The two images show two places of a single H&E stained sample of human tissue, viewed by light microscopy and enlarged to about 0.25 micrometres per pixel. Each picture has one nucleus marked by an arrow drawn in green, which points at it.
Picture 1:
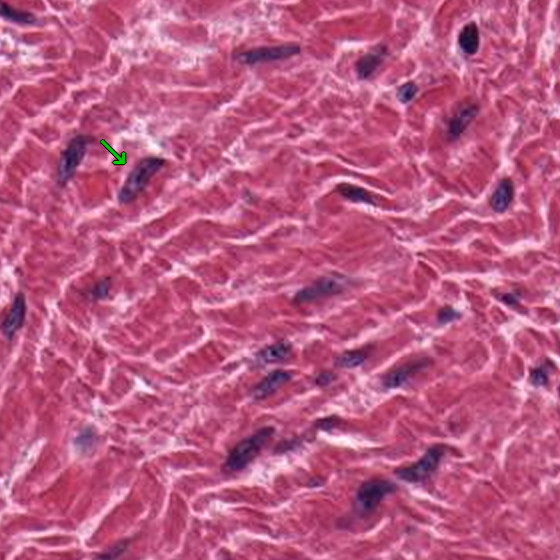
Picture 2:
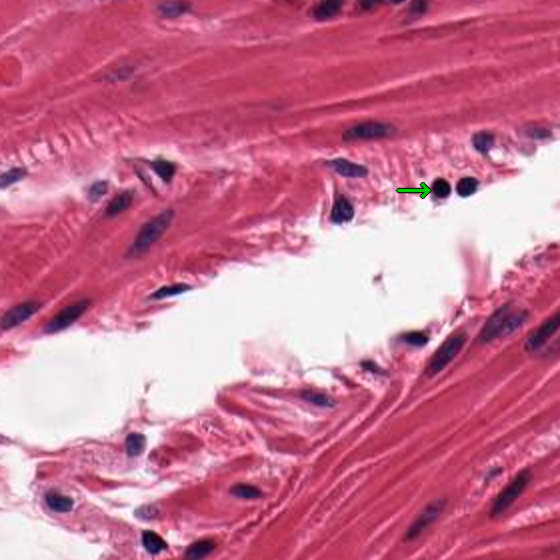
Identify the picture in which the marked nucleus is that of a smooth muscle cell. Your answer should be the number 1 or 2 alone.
1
